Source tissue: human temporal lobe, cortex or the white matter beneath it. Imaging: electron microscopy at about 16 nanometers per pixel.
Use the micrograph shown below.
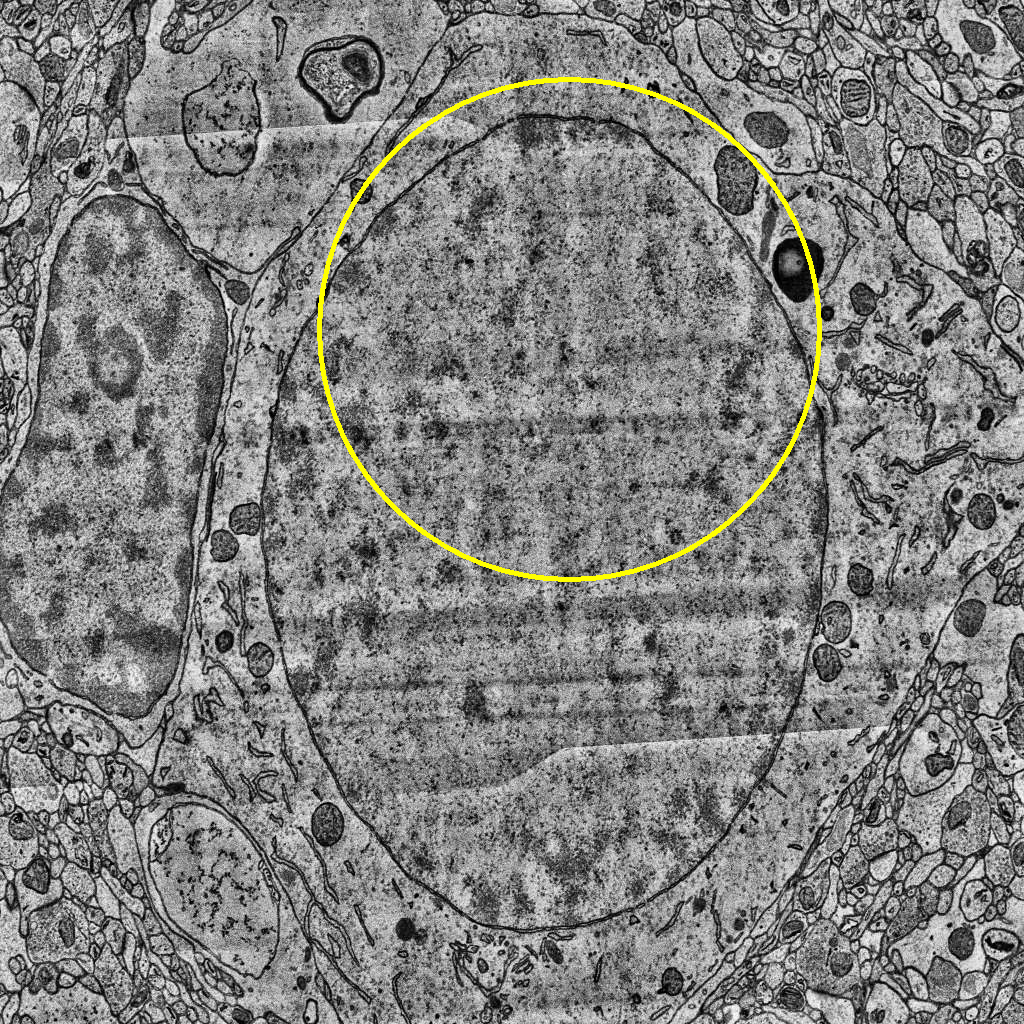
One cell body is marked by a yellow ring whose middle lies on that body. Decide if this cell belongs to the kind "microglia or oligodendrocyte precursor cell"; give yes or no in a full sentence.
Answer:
No, the cell at the ring's middle in the micrograph is of another kind.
